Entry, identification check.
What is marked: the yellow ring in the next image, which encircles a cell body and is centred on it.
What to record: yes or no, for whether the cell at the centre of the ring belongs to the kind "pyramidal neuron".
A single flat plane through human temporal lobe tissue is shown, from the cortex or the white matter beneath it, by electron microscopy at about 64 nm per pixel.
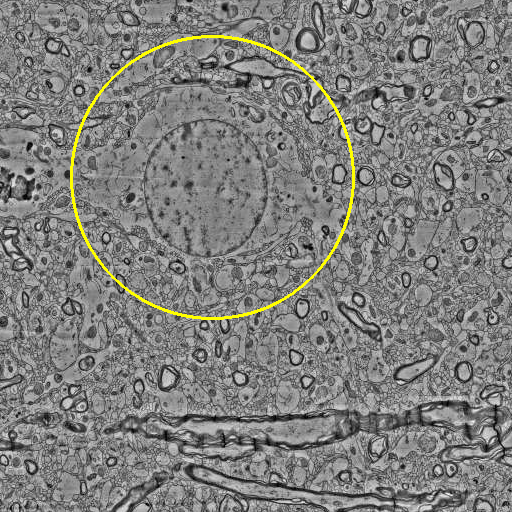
No, it belongs to another kind.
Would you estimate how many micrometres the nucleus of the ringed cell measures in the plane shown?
The nucleus of the ringed cell is approximately 8 micrometres across in this plane.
